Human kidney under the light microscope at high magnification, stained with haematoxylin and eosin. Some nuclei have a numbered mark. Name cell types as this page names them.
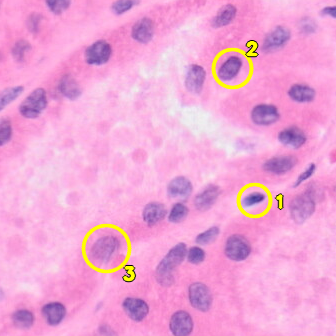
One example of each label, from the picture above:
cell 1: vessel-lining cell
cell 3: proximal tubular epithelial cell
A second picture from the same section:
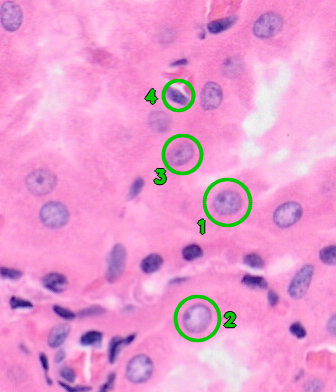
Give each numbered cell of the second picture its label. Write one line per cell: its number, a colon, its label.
1: proximal tubular epithelial cell
2: proximal tubular epithelial cell
3: proximal tubular epithelial cell
4: vessel-lining cell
